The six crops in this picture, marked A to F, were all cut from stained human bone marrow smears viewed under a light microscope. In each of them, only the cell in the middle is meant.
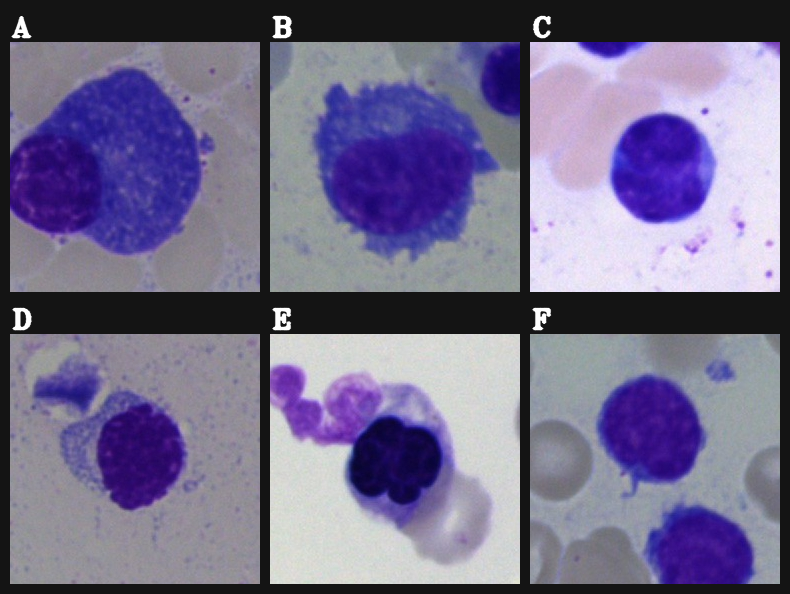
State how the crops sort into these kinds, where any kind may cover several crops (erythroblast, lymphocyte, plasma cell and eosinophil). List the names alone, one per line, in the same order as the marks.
plasma cell
plasma cell
lymphocyte
lymphocyte
erythroblast
lymphocyte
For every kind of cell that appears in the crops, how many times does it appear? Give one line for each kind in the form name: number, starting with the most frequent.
lymphocyte: 3
plasma cell: 2
erythroblast: 1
